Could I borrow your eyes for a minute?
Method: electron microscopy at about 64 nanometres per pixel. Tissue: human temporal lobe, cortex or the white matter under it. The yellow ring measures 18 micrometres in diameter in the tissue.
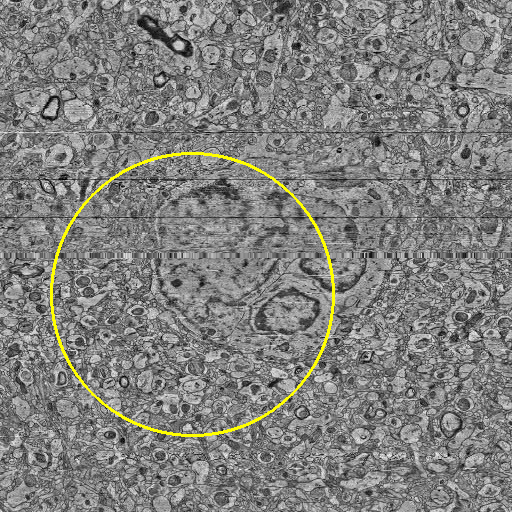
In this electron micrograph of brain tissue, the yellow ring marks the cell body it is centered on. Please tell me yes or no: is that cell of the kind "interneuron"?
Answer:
yes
